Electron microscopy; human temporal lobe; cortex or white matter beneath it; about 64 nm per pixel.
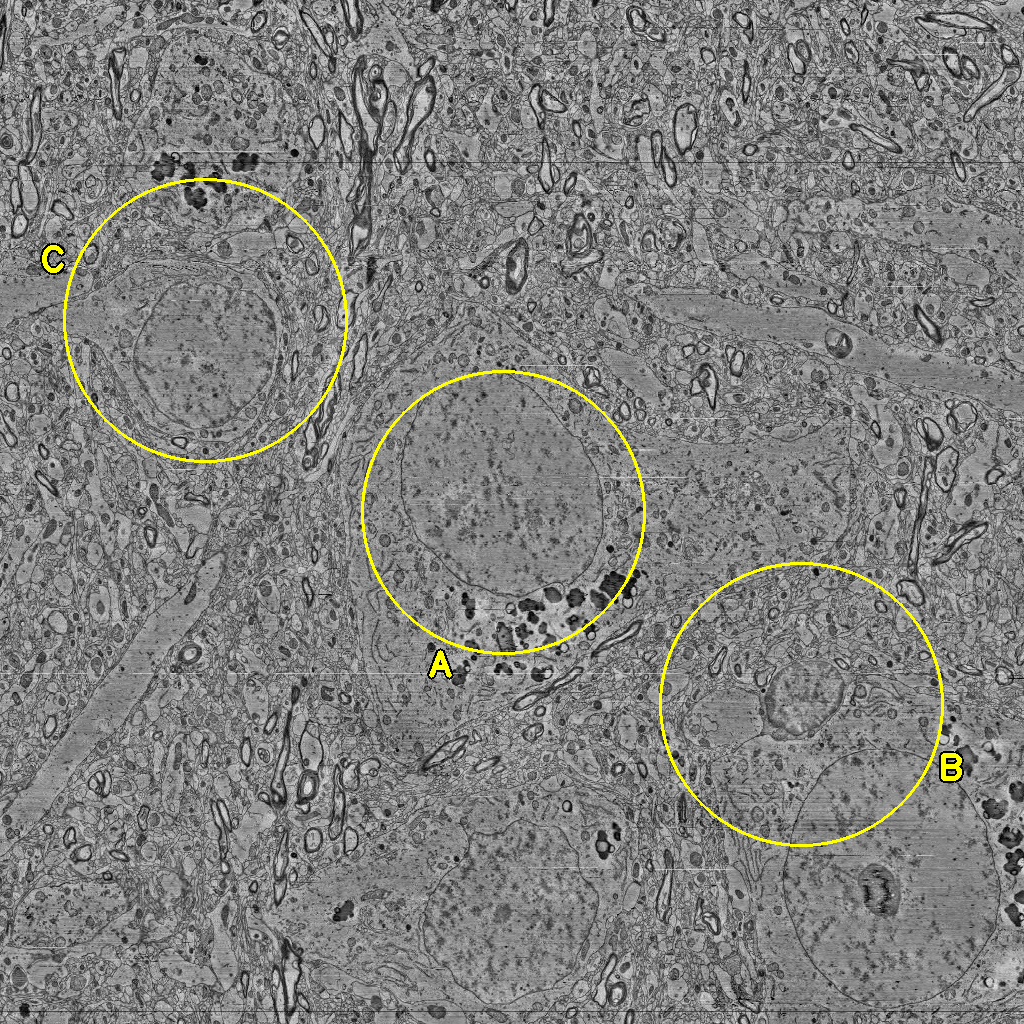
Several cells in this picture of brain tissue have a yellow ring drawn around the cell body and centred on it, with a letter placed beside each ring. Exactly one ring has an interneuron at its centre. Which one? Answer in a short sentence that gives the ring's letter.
Ring C is centred on it.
